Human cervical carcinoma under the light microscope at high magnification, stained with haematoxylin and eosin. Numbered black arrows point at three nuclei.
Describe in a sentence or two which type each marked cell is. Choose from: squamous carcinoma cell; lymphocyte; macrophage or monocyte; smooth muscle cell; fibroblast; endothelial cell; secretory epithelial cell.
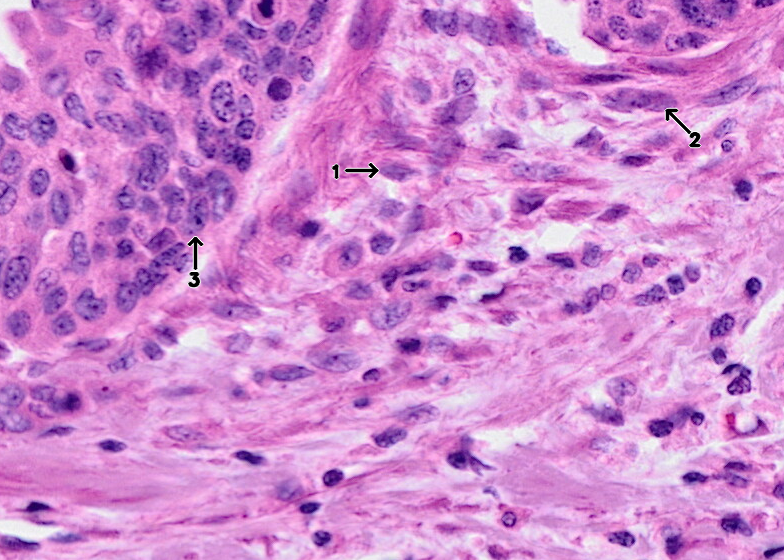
Cell 1 is a fibroblast, cell 2 is a fibroblast and cell 3 is a squamous carcinoma cell.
